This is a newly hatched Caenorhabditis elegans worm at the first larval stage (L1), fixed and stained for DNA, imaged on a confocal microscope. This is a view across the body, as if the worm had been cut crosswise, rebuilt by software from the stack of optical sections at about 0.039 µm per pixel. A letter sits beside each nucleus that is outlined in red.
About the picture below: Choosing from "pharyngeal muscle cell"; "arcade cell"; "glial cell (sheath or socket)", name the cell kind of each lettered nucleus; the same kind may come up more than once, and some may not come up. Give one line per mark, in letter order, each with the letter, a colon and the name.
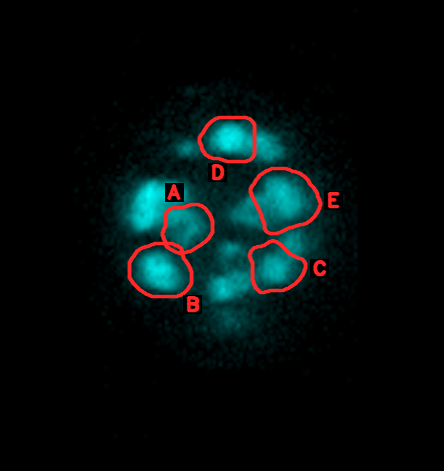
A: pharyngeal muscle cell
B: glial cell (sheath or socket)
C: arcade cell
D: glial cell (sheath or socket)
E: glial cell (sheath or socket)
